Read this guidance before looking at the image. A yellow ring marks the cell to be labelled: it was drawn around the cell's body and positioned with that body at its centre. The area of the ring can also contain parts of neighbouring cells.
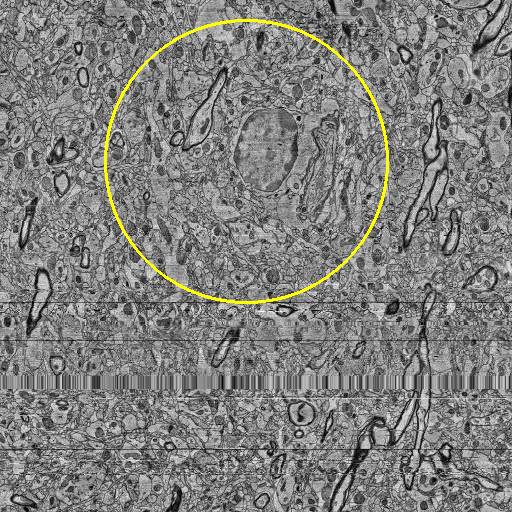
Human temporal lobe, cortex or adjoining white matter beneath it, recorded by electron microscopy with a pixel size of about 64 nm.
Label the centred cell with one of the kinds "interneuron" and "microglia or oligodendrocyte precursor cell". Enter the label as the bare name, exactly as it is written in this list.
microglia or oligodendrocyte precursor cell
